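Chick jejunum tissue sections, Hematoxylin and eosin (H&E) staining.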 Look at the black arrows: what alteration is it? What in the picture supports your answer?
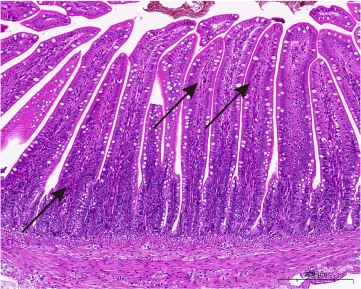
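The arrows point into the cores of the villi. Small dark cells lie scattered in the villus cores.
Inflammatory cell infiltration.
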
